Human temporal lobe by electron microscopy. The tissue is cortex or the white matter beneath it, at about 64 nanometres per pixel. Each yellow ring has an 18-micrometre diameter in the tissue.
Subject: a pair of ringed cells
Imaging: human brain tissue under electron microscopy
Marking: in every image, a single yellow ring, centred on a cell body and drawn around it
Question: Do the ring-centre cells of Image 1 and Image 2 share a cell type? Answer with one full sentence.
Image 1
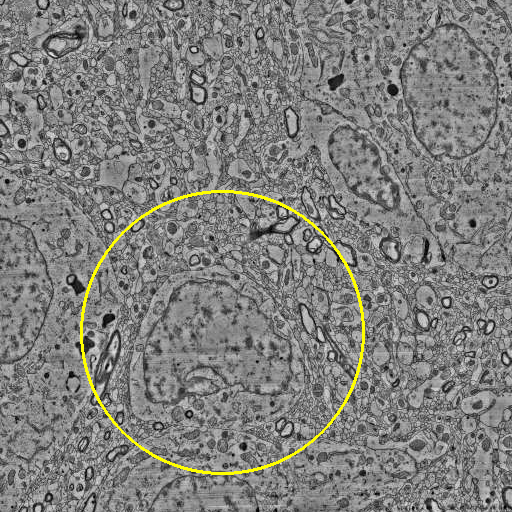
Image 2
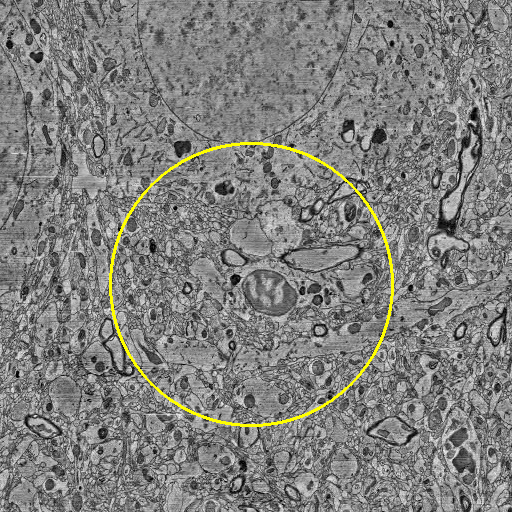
No, at the ring centres in the images sit cells of two separate types.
